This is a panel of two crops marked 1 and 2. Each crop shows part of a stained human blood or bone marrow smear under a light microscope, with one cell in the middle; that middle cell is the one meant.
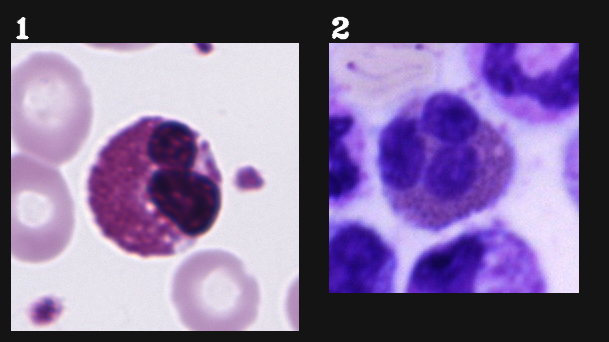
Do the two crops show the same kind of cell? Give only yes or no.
yes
